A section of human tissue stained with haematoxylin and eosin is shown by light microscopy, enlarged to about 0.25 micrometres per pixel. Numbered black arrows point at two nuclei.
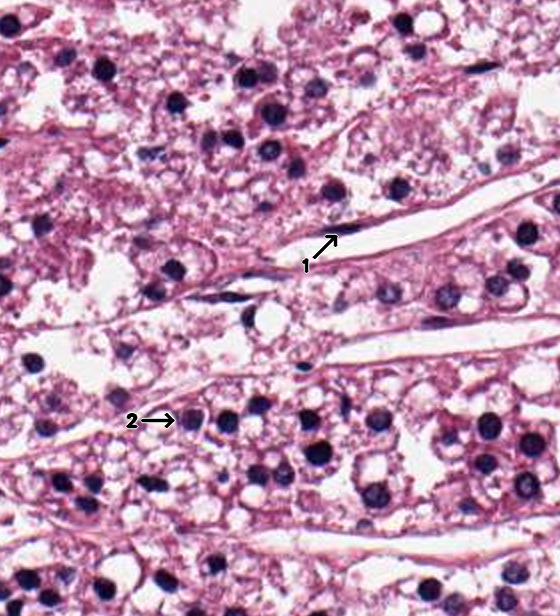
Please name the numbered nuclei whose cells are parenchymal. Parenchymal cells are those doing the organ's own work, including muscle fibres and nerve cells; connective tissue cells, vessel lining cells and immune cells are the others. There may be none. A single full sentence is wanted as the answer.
None of the numbered nuclei except nucleus 2 belongs to a parenchymal cell.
